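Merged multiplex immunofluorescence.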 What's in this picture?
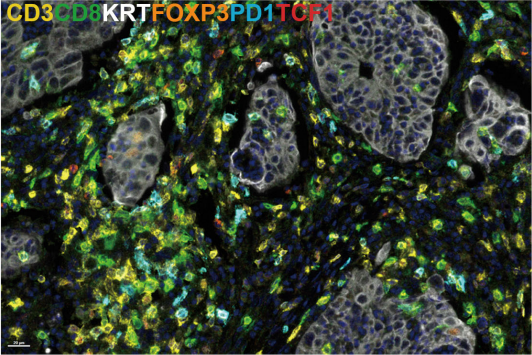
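Scattered among them are cyan-rimmed cells and a few red or orange ones. The lymphocytes crowd the stroma around the nests, and only a few lie within the epithelial nests.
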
